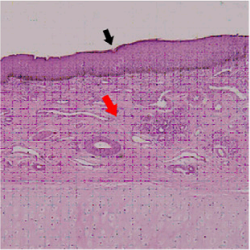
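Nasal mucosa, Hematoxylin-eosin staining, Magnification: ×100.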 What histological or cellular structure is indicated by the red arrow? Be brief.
Lamina propria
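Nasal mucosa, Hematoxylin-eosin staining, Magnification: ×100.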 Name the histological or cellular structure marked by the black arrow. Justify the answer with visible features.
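The arrow points to a continuous pink-purple cellular band along the upper surface. The band is several cells thick and sharply separated from the tissue below. The answer: epithelial layer.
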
